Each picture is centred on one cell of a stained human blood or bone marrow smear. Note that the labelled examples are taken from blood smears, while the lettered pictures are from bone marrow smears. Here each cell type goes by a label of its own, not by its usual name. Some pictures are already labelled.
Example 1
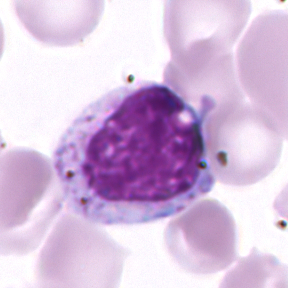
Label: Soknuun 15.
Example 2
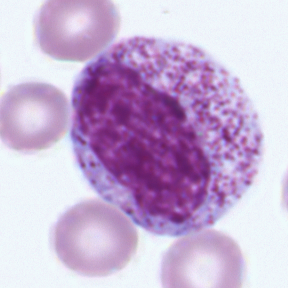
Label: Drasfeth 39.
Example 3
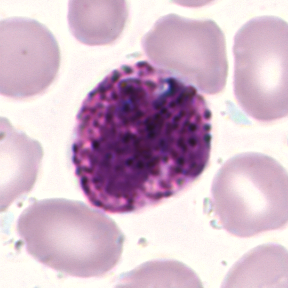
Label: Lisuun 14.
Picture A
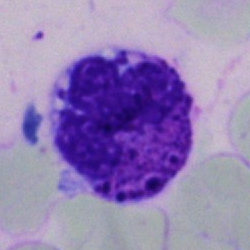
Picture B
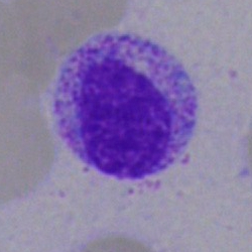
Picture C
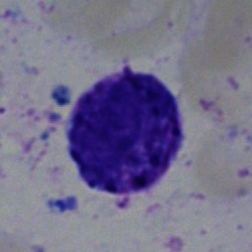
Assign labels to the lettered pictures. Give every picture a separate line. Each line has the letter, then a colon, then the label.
A: Lisuun 14.
B: Drasfeth 39.
C: Lisuun 14.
